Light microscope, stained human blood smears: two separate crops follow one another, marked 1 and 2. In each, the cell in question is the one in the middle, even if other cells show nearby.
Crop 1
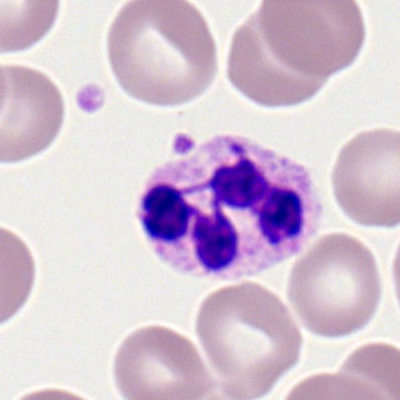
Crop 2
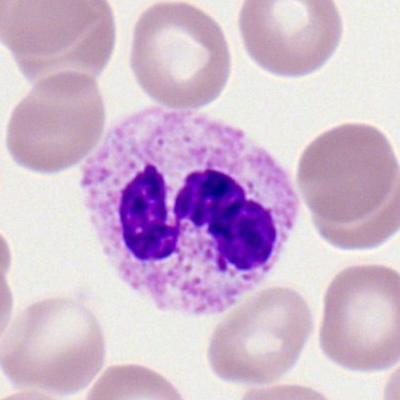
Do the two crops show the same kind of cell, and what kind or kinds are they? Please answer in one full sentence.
Yes, the centre of both crops is taken up by segmented neutrophils.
